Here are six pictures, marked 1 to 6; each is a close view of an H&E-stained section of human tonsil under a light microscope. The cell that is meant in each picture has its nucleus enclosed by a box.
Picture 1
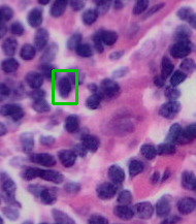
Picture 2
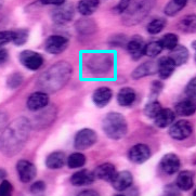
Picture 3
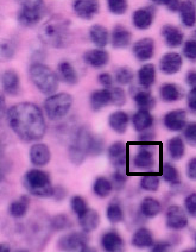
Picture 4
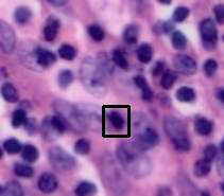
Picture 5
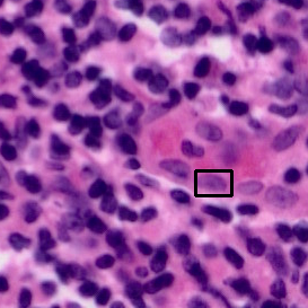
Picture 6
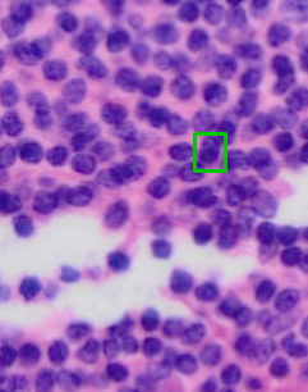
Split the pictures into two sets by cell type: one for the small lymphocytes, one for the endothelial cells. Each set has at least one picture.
1: small lymphocyte
2: endothelial cell
3: small lymphocyte
4: endothelial cell
5: endothelial cell
6: small lymphocyte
